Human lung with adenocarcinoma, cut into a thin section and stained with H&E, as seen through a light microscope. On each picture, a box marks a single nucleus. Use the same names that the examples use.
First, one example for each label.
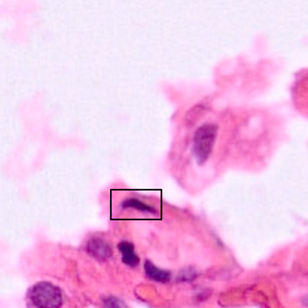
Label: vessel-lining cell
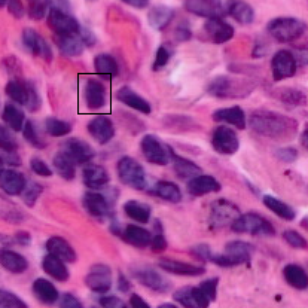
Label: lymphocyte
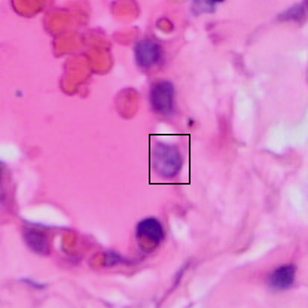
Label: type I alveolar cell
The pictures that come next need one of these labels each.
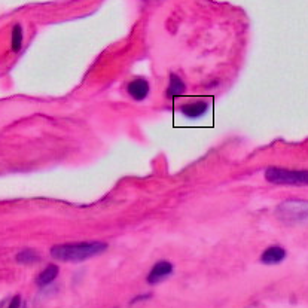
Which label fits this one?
type I alveolar cell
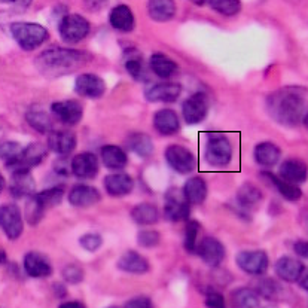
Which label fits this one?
lymphocyte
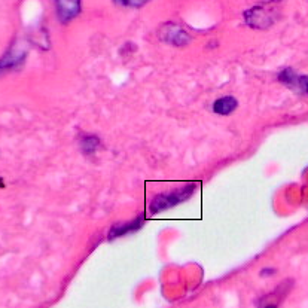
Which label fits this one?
vessel-lining cell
